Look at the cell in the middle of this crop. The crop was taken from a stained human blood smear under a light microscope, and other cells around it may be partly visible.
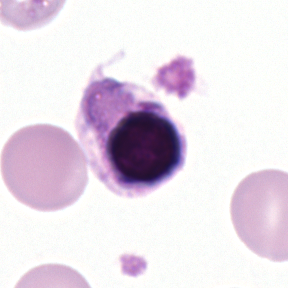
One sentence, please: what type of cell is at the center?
Located at the centre of the crop is a normoblast.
